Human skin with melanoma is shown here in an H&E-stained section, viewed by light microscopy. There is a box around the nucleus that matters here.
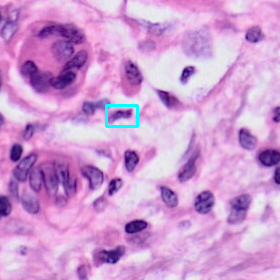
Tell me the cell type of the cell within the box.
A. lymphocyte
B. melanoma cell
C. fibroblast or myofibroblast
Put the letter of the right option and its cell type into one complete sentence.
It is correct to say that the cell within the box is a fibroblast or myofibroblast, as option C does.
